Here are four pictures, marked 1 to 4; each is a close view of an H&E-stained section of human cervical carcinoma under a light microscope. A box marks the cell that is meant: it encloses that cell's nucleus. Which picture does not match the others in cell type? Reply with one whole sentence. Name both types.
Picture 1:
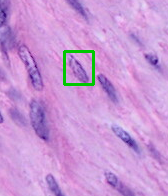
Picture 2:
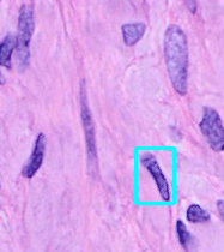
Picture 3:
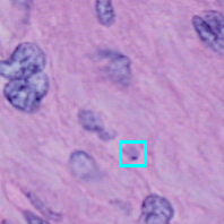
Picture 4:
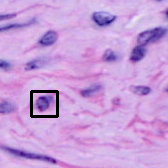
All pictures except 2 show smooth muscle cells; picture 2 shows a fibroblast.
